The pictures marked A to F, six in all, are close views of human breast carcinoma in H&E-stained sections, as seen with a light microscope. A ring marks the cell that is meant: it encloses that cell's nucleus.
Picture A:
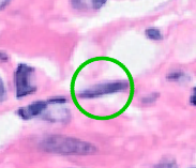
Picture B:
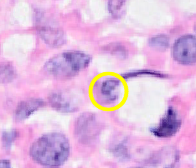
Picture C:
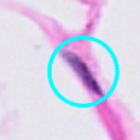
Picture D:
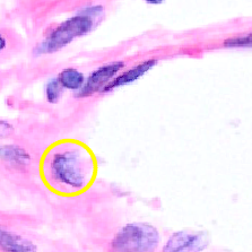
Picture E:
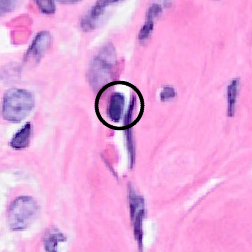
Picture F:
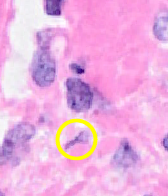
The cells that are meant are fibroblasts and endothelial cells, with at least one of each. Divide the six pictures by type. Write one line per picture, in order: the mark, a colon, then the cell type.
A: fibroblast
B: endothelial cell
C: endothelial cell
D: endothelial cell
E: endothelial cell
F: fibroblast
